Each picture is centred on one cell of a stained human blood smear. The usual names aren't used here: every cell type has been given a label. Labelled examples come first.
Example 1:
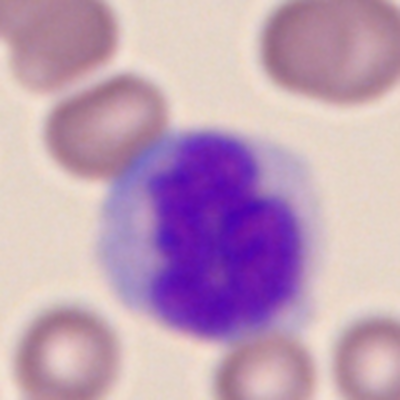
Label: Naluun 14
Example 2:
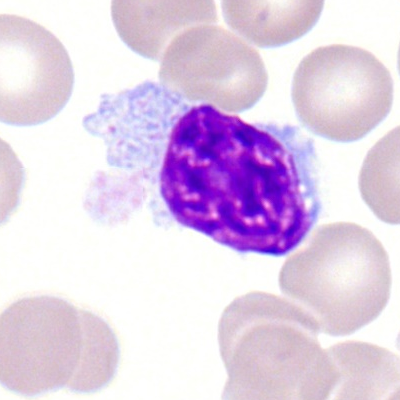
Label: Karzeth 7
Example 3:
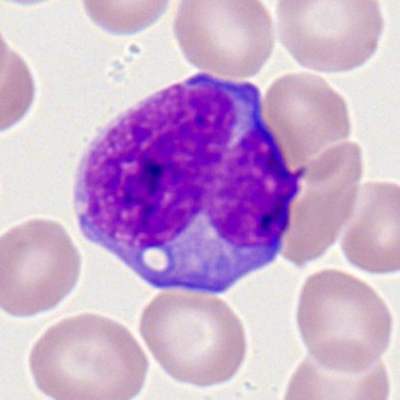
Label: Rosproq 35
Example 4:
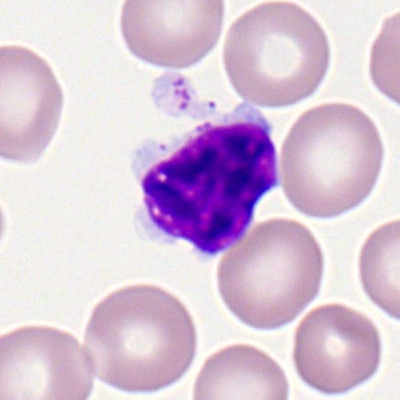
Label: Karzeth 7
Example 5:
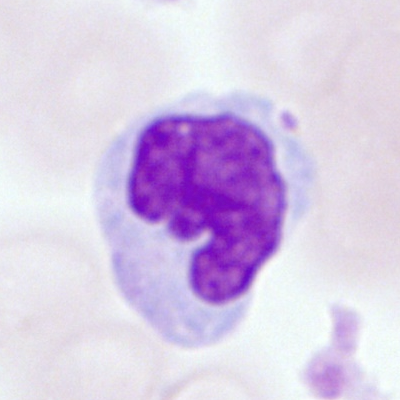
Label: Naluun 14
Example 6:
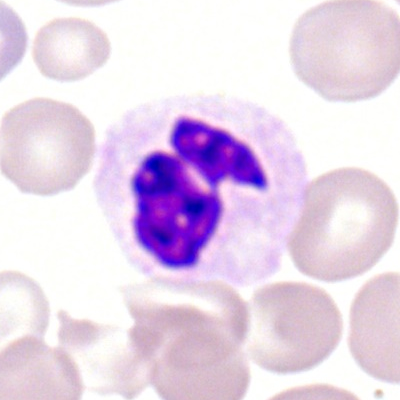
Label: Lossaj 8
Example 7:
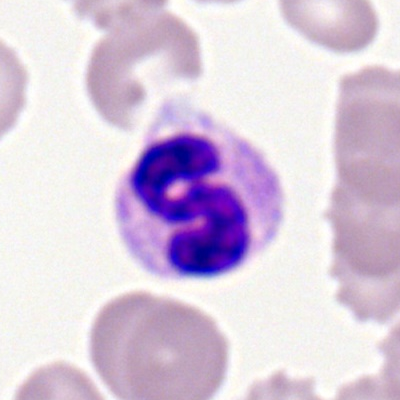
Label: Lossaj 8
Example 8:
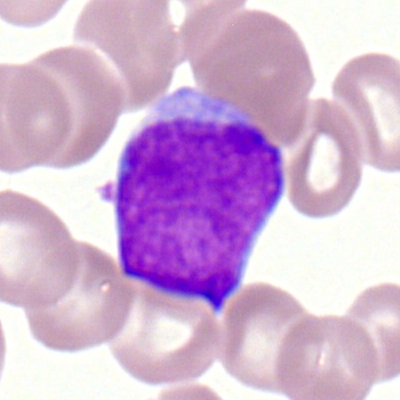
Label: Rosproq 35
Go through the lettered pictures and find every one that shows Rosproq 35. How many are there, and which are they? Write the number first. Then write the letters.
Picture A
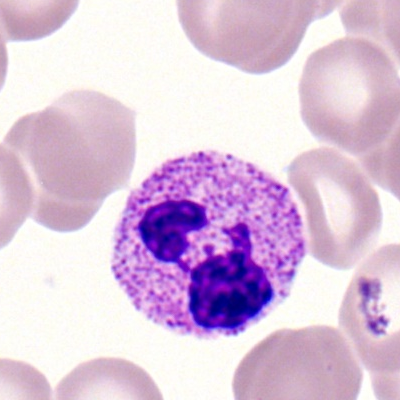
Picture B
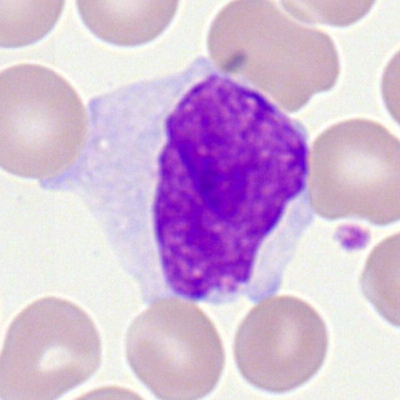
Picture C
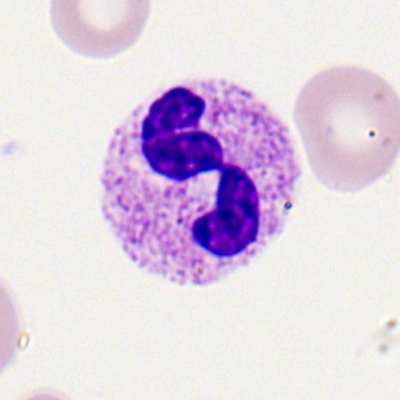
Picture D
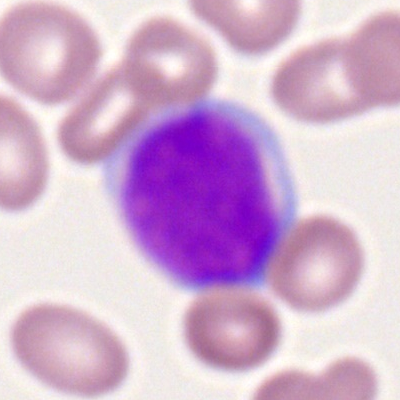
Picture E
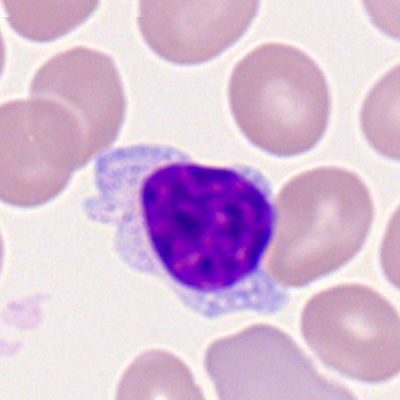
1, namely D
